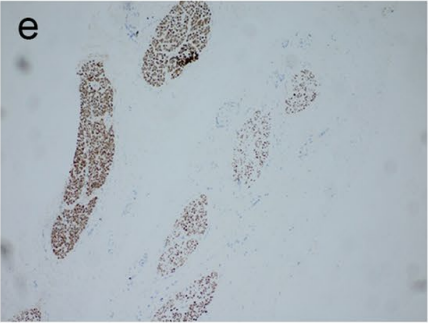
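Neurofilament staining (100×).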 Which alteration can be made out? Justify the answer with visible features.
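Some fascicles are densely and darkly stained. Other fascicles are pale with only sparse stained dots.
Conclusion: marked variability in axonal degeneration across different nerve bundles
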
